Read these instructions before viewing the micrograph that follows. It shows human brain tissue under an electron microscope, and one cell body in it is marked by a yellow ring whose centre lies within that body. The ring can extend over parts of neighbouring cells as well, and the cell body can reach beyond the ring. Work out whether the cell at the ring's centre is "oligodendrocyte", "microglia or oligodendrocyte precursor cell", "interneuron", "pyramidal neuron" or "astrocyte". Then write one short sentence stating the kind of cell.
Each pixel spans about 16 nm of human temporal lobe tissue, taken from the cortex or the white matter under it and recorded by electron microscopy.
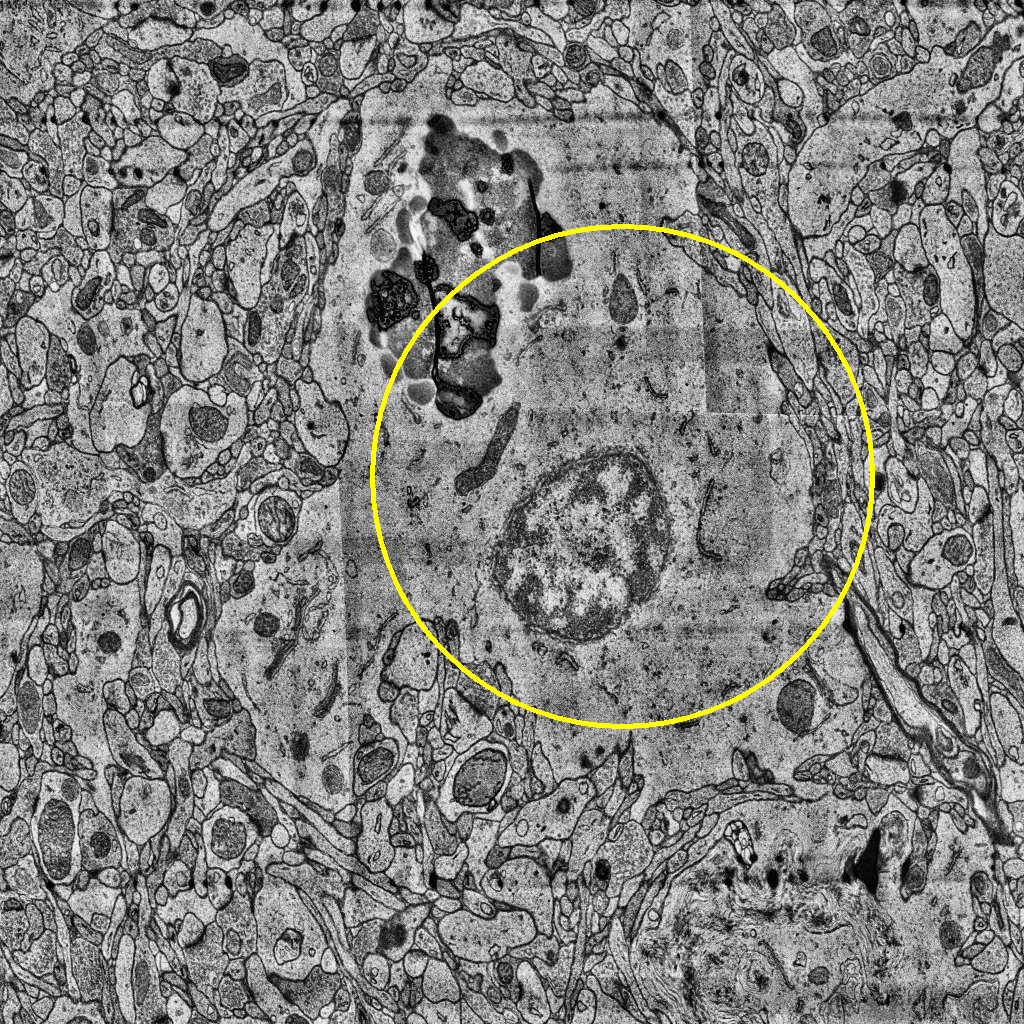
The cell at the ring's centre is an astrocyte.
